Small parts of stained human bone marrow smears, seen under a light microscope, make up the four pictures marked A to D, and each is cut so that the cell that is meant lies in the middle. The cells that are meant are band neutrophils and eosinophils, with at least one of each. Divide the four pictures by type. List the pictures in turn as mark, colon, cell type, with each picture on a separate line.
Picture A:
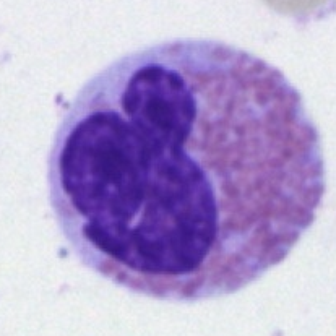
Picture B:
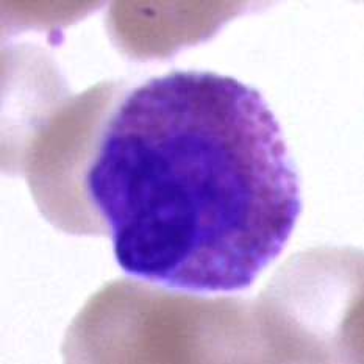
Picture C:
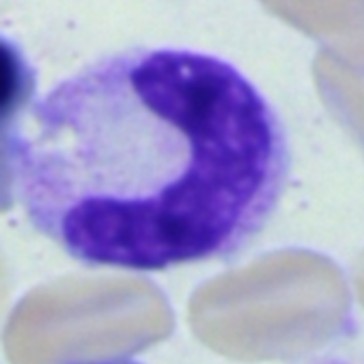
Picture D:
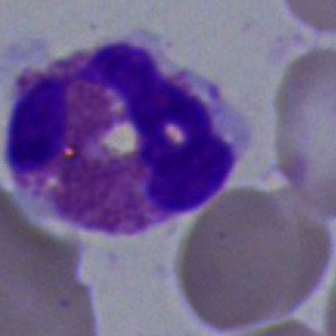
A: eosinophil
B: eosinophil
C: band neutrophil
D: eosinophil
